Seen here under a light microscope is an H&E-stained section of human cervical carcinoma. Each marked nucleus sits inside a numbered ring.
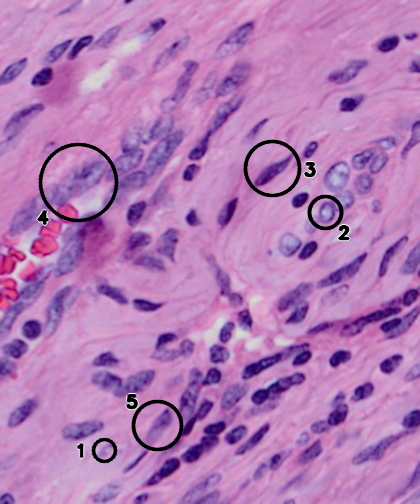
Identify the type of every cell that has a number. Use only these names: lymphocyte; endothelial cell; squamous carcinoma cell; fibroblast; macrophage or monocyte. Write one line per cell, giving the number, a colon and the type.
1: fibroblast
2: endothelial cell
3: fibroblast
4: endothelial cell
5: fibroblast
